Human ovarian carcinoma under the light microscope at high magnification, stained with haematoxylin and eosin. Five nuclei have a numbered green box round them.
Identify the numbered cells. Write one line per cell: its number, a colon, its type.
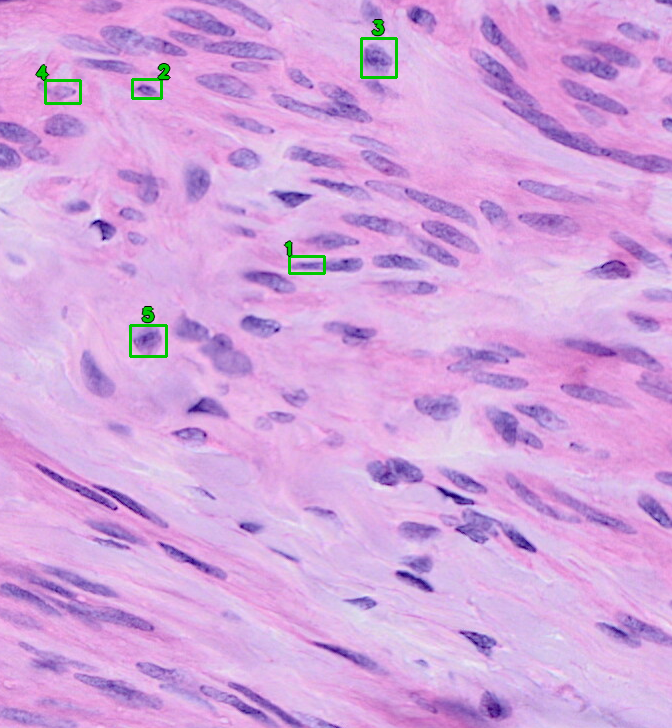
1: smooth muscle cell
2: smooth muscle cell
3: fibroblast
4: smooth muscle cell
5: fibroblast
